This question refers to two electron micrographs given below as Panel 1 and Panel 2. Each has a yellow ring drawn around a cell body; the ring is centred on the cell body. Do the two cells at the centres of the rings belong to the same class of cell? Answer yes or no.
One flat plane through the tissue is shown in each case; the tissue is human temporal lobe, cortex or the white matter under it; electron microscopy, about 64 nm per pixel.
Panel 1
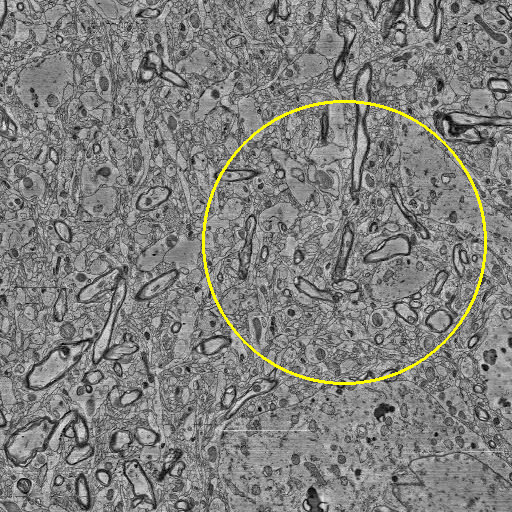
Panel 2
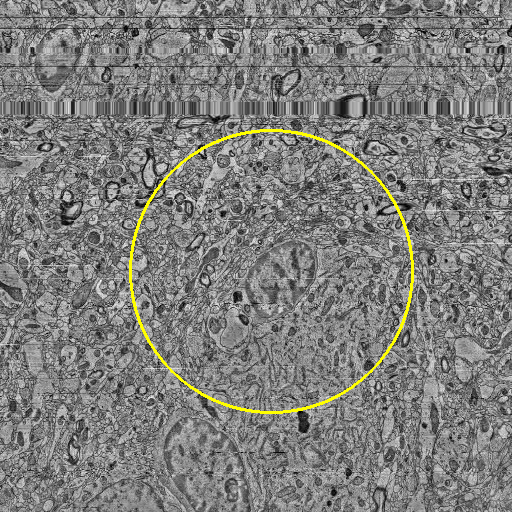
yes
